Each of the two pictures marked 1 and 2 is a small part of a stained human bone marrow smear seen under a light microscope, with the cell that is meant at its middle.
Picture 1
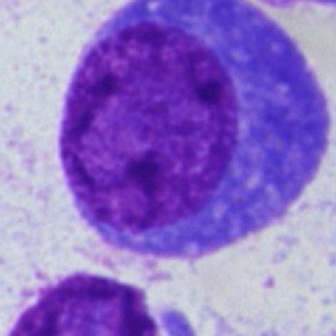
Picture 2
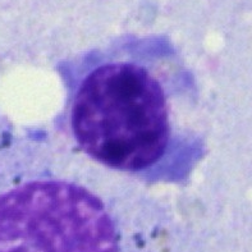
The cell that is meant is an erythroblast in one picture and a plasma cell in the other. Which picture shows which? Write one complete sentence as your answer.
It is picture 1 that shows a plasma cell, and picture 2 that shows an erythroblast.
